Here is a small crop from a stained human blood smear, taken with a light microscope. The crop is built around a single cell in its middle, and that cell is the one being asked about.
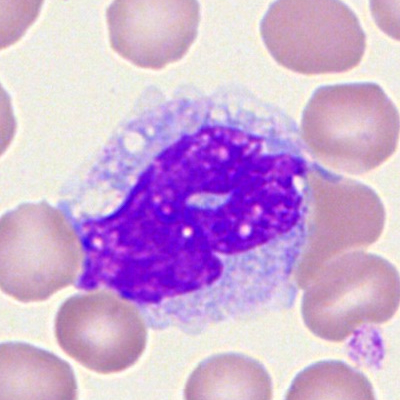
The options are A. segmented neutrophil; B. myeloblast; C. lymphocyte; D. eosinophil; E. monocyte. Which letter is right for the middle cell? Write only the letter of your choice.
E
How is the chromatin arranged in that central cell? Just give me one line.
The chromatin here is fine and lacks any coarse clumps.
